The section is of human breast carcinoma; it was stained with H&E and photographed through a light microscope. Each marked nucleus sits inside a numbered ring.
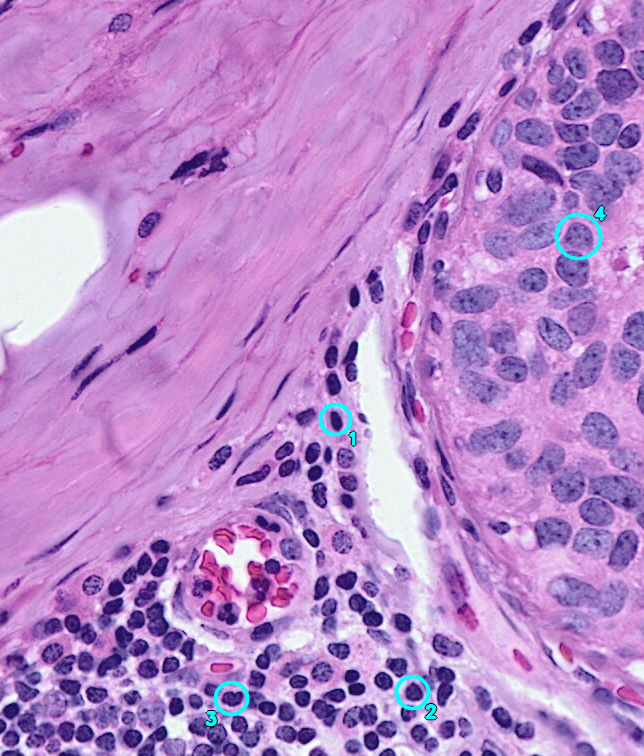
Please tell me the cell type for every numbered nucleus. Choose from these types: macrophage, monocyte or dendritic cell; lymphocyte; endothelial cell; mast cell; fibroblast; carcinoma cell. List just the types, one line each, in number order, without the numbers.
lymphocyte
lymphocyte
lymphocyte
carcinoma cell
